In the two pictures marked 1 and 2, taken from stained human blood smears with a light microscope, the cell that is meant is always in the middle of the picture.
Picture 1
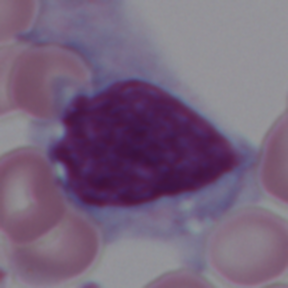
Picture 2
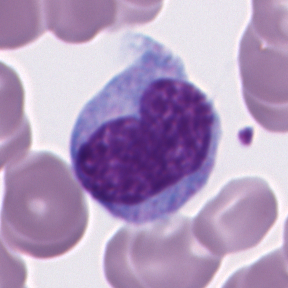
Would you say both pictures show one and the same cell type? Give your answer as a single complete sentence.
Yes, both are monocytes.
